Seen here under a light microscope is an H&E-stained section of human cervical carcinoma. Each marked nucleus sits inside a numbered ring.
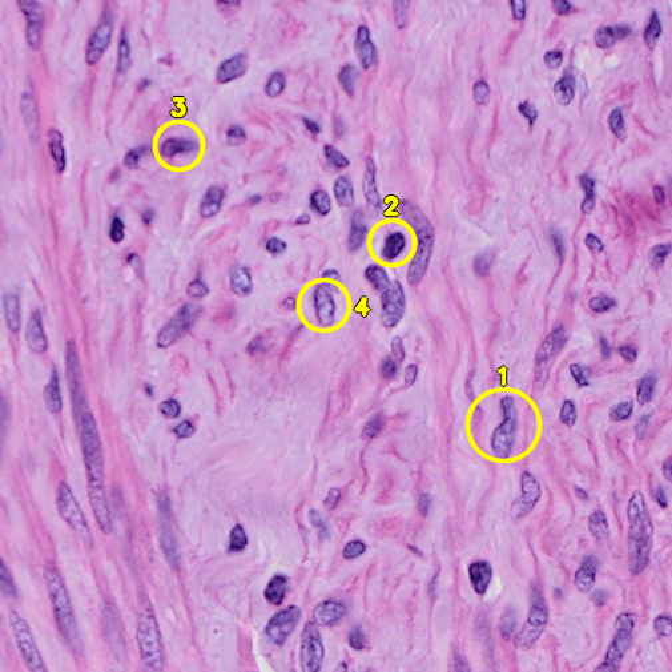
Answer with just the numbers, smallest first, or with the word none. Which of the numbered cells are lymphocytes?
2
